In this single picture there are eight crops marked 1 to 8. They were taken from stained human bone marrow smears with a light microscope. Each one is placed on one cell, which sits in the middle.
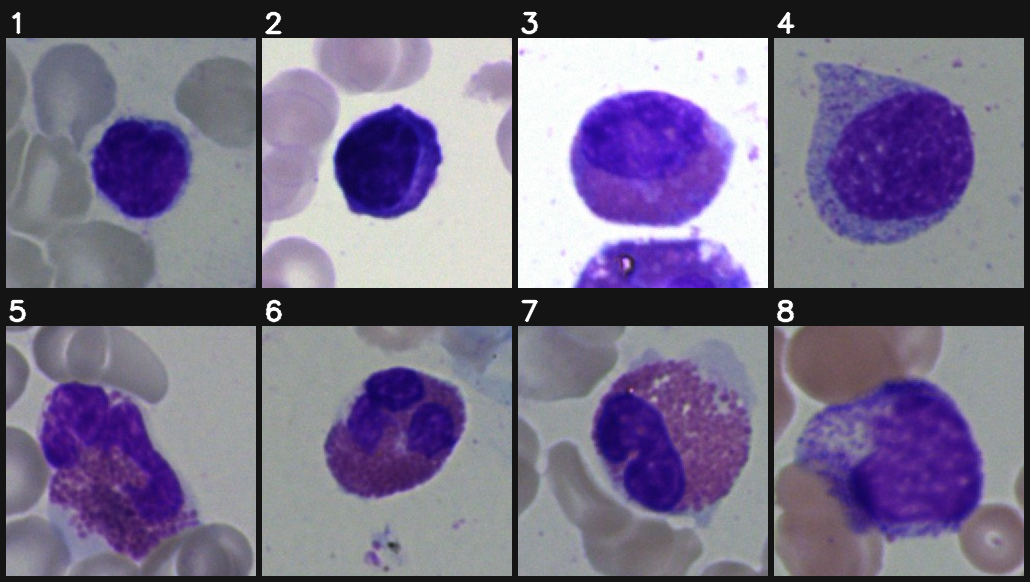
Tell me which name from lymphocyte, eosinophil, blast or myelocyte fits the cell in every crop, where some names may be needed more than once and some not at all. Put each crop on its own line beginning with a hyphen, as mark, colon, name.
- 1: lymphocyte
- 2: lymphocyte
- 3: eosinophil
- 4: myelocyte
- 5: eosinophil
- 6: eosinophil
- 7: eosinophil
- 8: myelocyte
